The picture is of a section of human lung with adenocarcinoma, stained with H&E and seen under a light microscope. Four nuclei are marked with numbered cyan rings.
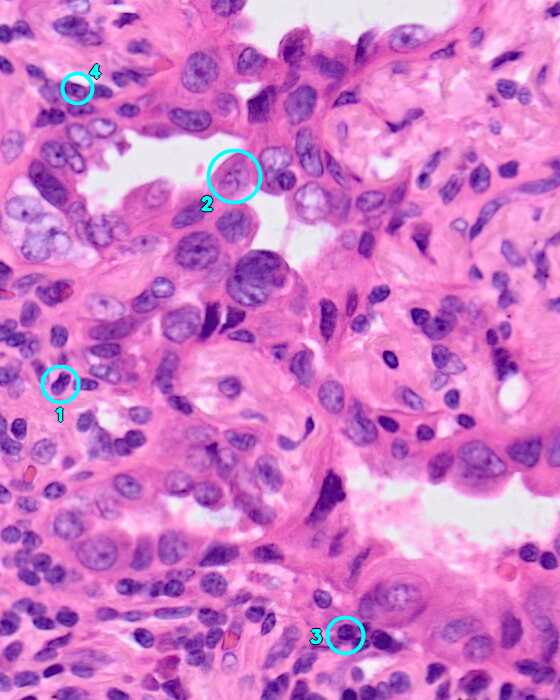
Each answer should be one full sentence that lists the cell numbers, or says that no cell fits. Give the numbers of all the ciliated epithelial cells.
Of all the numbered cells, not one is counted among the ciliated epithelial cells.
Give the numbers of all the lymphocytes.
The cells picked out by numbers 1, 3 and 4 are lymphocytes.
